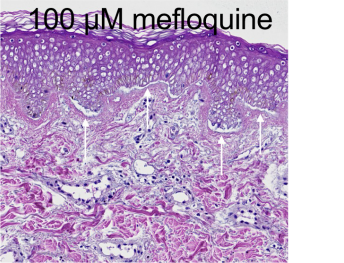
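A section of skin shows a pink-purple epidermis above a loose pink dermis with scattered small dark nuclei. Along the lower border of the epidermis, clear clefts separate it from the underlying dermis.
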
